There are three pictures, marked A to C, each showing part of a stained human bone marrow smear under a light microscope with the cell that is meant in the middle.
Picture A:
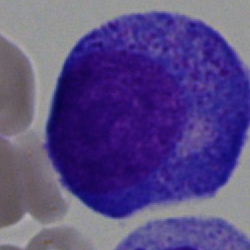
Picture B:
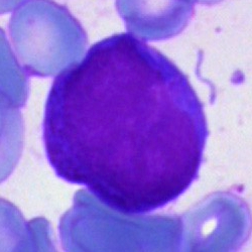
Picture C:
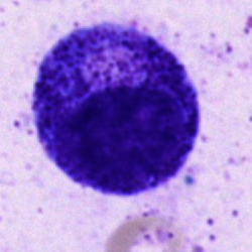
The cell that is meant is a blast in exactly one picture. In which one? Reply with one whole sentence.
Picture B is the one that shows the blast.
